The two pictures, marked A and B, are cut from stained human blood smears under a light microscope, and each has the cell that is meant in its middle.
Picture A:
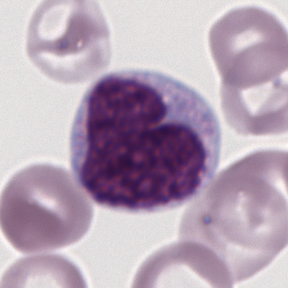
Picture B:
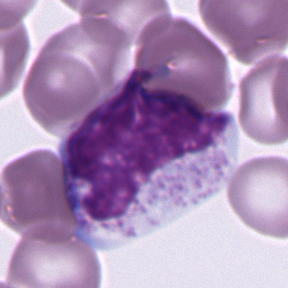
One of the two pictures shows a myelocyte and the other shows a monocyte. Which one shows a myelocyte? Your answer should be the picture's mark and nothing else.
B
